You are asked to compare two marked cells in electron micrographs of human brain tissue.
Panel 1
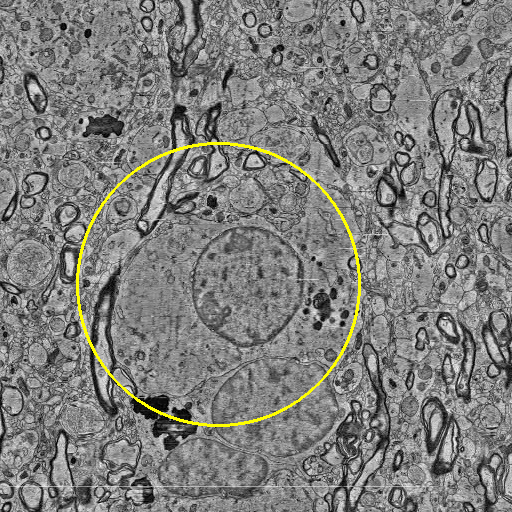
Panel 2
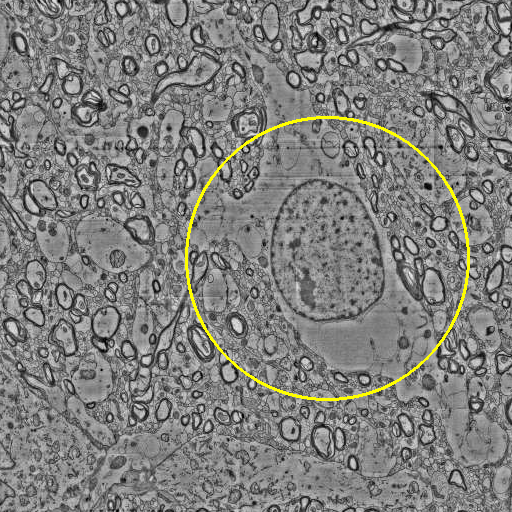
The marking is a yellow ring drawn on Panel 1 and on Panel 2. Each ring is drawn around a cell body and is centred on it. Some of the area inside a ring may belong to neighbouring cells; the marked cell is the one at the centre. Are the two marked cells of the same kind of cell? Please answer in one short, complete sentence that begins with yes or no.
Yes, the two marked cells are of the same kind.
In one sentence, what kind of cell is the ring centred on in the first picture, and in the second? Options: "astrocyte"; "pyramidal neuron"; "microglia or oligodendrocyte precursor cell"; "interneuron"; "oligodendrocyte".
Both the first and the second picture show an astrocyte in the ring.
